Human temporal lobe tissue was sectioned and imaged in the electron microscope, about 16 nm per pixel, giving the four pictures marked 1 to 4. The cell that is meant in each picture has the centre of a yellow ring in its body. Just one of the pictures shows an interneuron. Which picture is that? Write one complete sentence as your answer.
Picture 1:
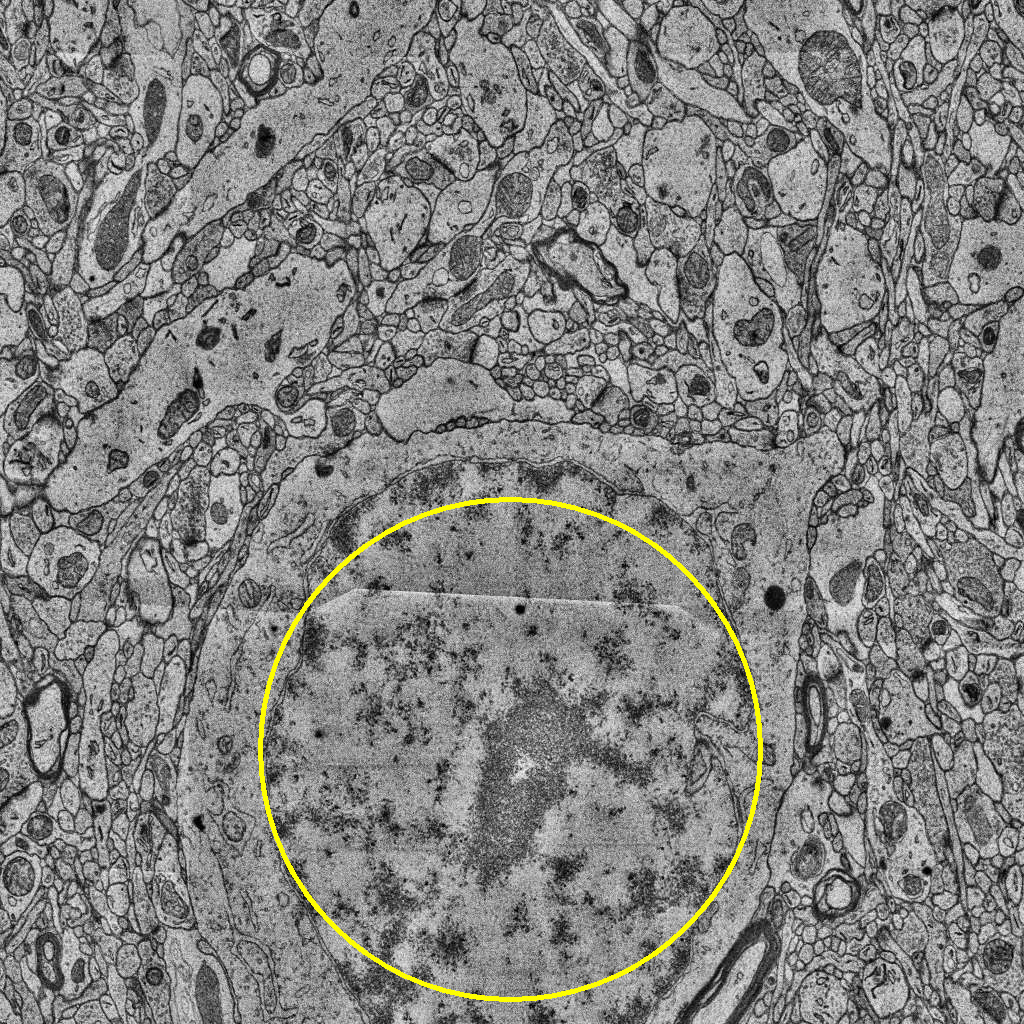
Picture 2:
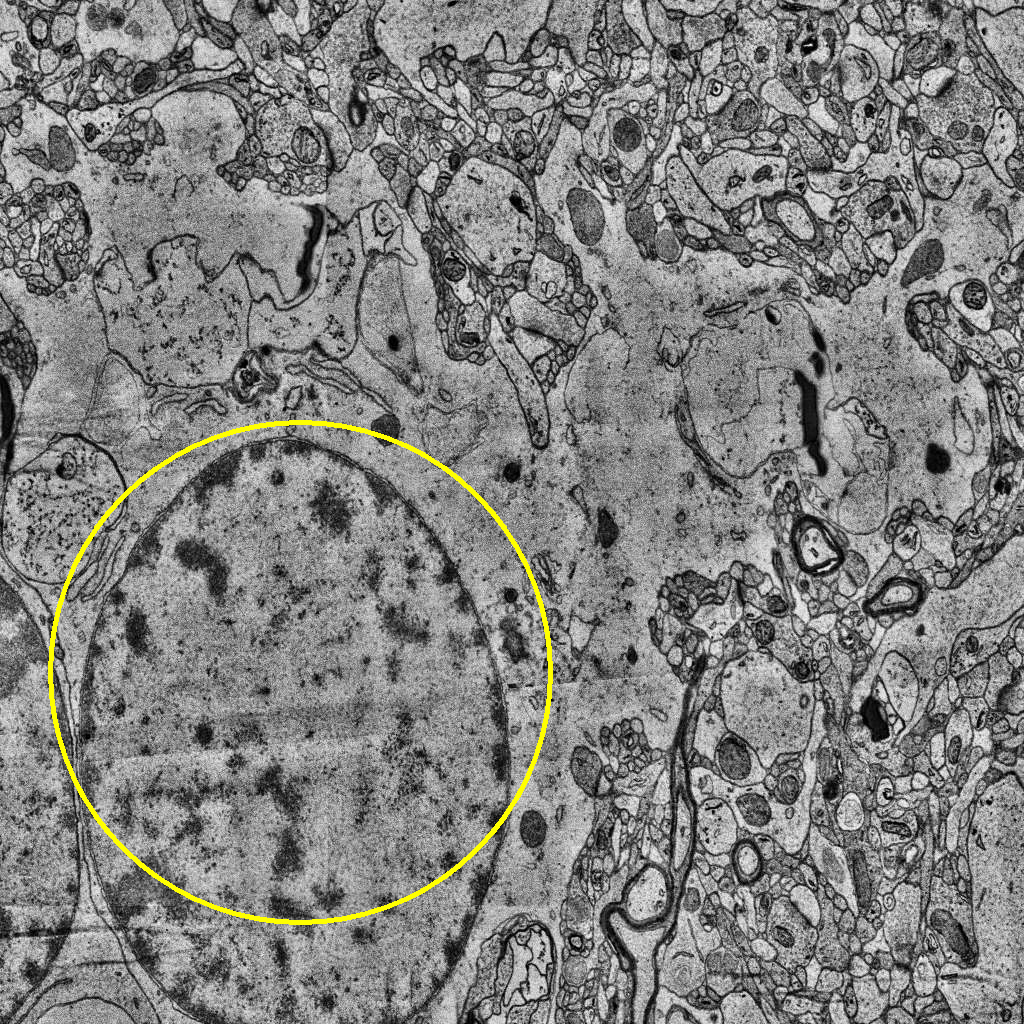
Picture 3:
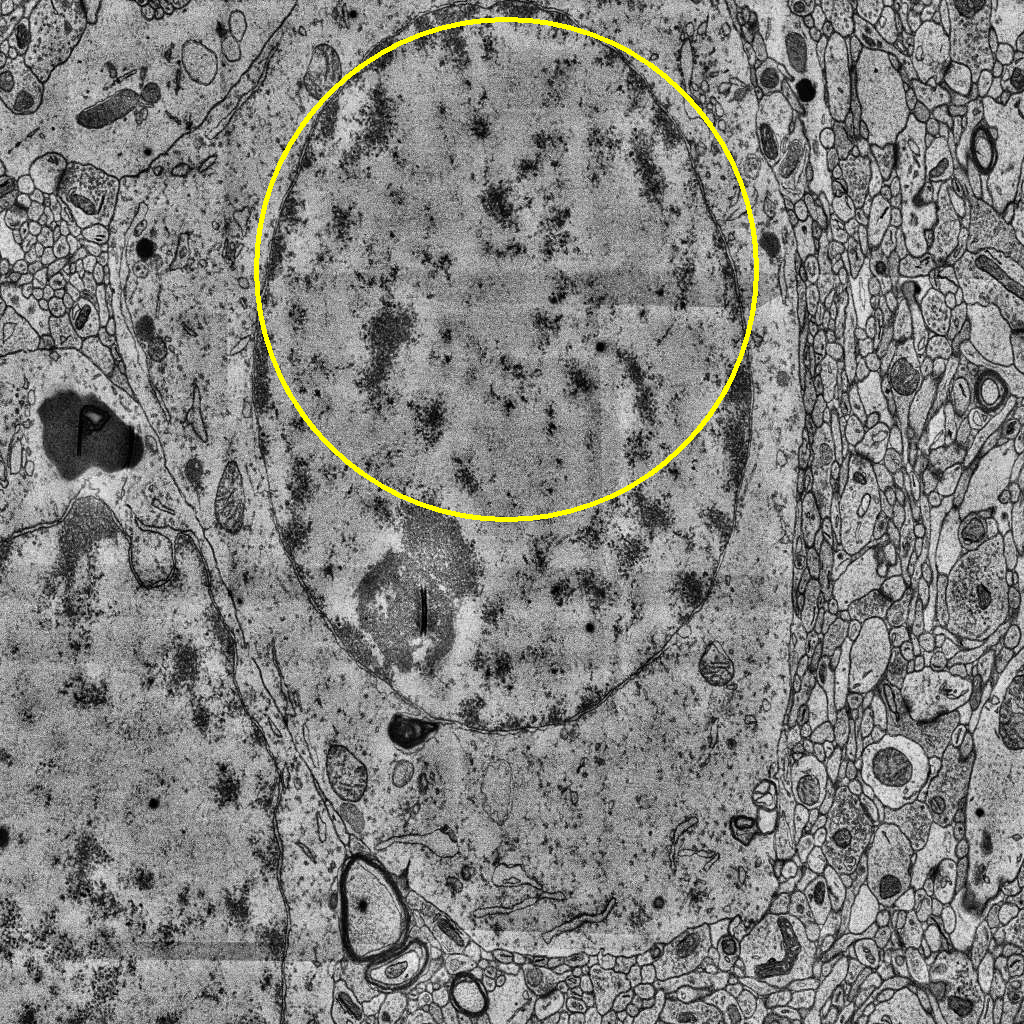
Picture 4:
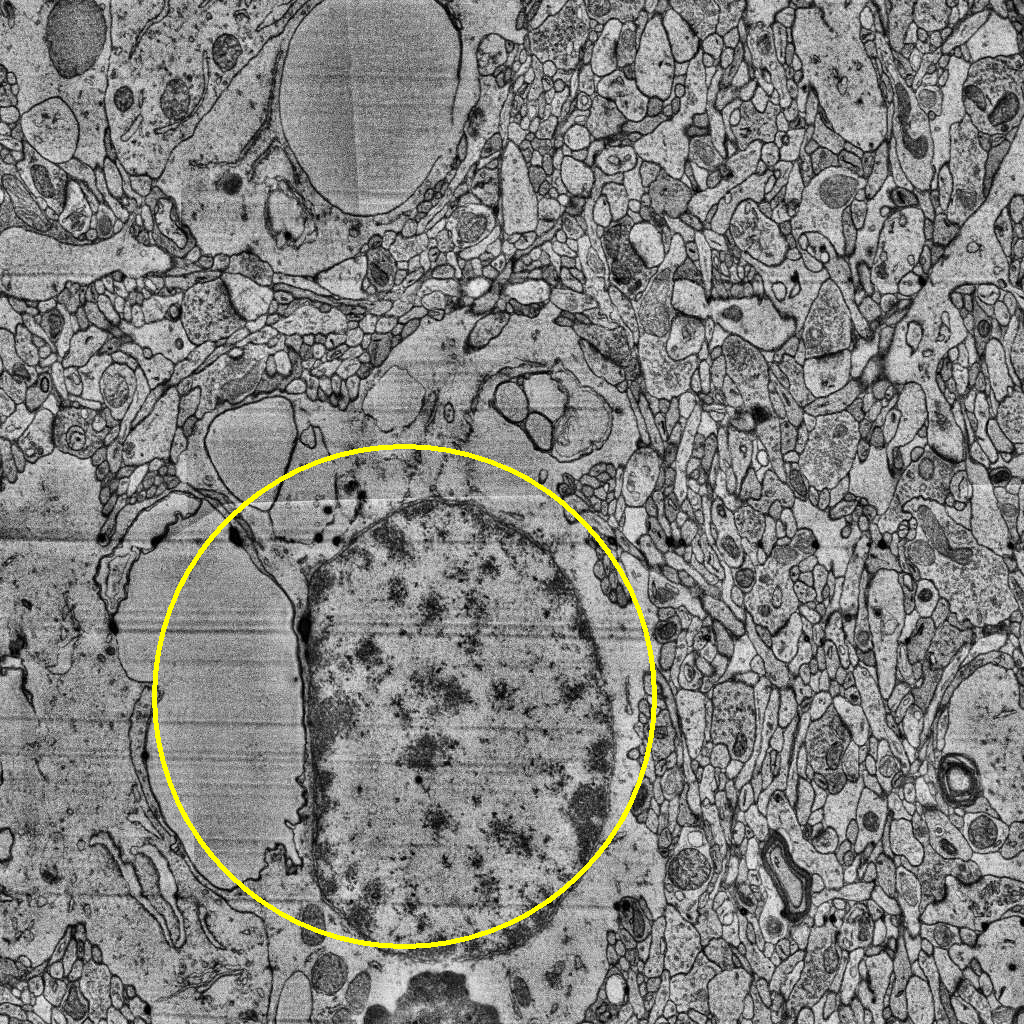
It is picture 1 that shows the interneuron.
